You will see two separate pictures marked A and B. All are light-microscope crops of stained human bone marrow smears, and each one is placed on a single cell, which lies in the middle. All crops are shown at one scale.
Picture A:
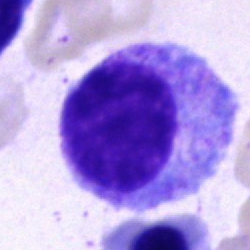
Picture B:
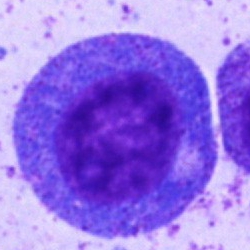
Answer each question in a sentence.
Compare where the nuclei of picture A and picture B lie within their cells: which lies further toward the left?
In picture A the nucleus is shifted more toward the left.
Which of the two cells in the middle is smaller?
It is the cell in picture A; the cell in picture B has about 1.5 times its area.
